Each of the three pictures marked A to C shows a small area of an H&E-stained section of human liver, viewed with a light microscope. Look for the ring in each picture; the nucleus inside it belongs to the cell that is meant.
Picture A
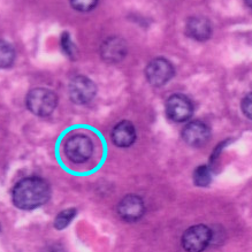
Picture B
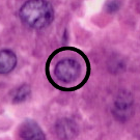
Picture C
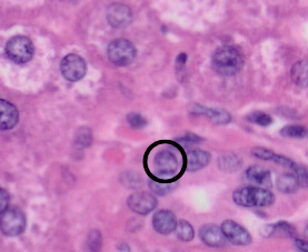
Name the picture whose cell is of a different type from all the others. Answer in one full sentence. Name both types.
Picture C differs, because its cell is a cholangiocyte and the rest are hepatocytes.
